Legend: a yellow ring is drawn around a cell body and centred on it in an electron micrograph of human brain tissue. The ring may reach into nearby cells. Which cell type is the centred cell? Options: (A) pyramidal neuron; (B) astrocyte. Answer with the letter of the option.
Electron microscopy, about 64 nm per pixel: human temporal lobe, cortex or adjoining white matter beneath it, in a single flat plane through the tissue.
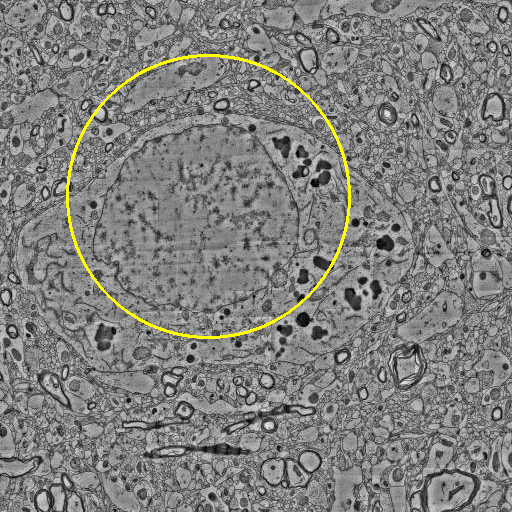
A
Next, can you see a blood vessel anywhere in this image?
No, no vessel shows anywhere in the image.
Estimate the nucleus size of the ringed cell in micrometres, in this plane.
The nucleus is about 12 micrometres across in this plane.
